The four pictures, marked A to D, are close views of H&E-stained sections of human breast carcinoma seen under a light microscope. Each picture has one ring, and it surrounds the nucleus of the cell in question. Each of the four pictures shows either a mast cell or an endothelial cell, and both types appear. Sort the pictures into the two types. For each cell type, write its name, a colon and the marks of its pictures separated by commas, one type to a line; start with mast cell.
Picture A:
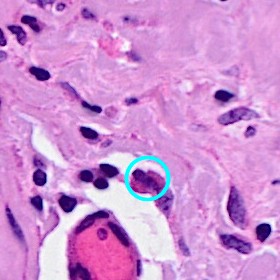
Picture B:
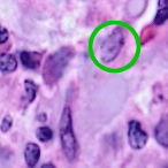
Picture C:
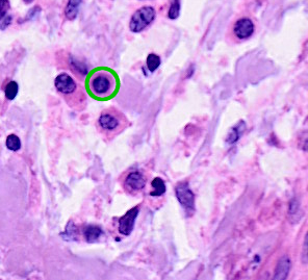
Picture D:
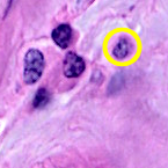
mast cell: A, C, D
endothelial cell: B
